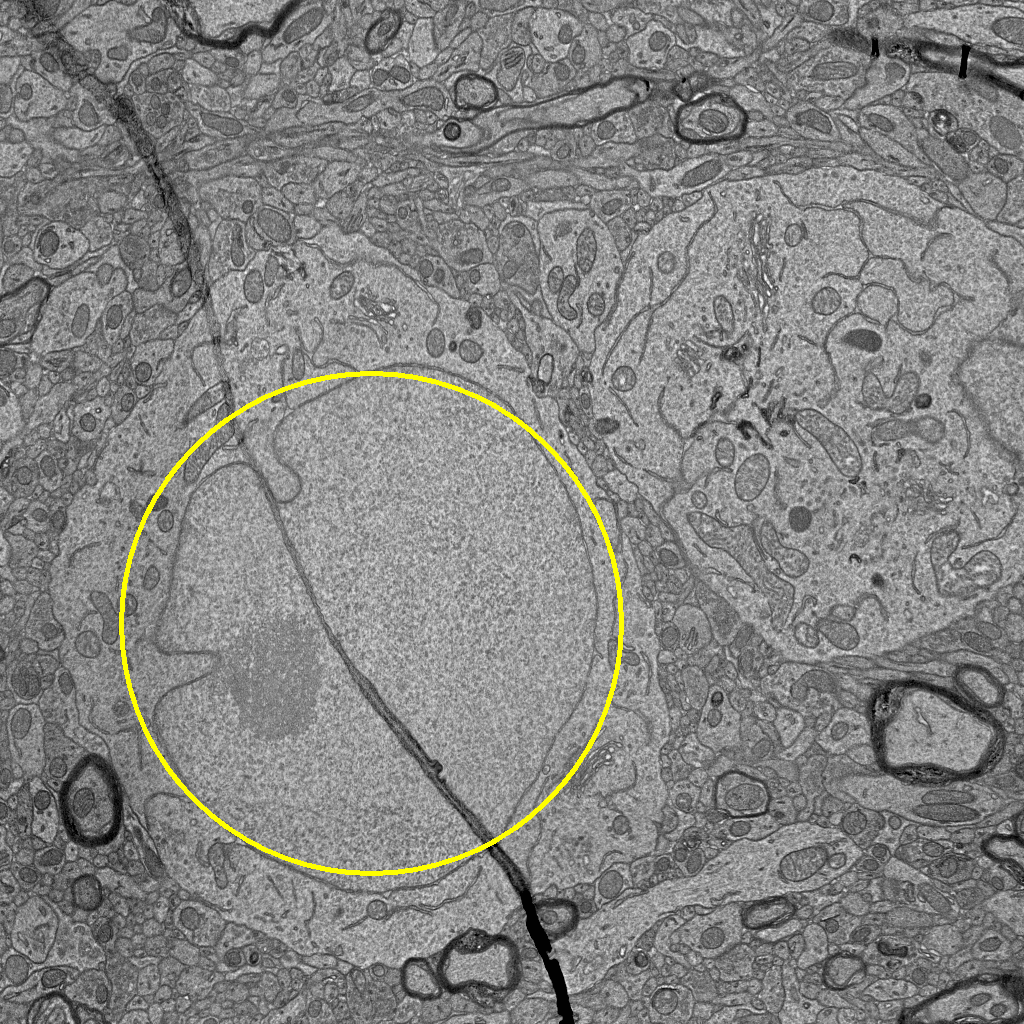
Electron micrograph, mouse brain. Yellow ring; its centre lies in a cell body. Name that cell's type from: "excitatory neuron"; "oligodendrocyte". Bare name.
excitatory neuron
